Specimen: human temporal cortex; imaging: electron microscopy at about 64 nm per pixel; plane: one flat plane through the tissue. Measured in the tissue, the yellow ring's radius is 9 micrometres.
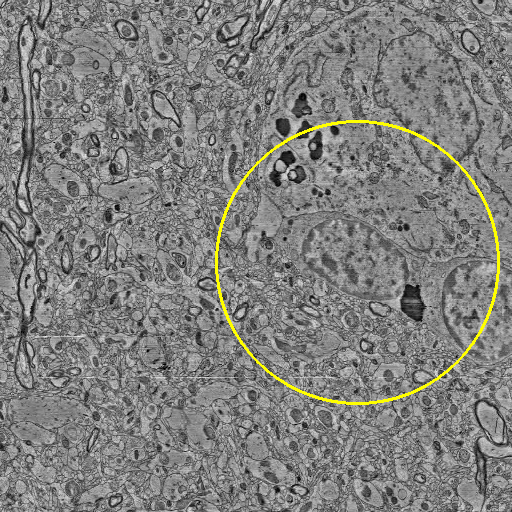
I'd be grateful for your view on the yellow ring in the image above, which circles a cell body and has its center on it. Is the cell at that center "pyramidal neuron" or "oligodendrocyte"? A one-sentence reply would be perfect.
The cell at the center of the yellow ring is an oligodendrocyte.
